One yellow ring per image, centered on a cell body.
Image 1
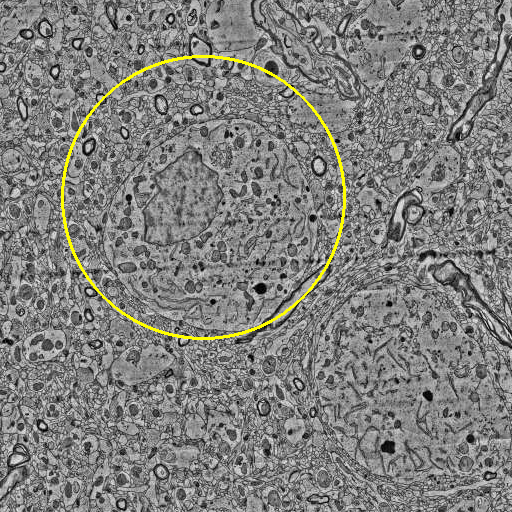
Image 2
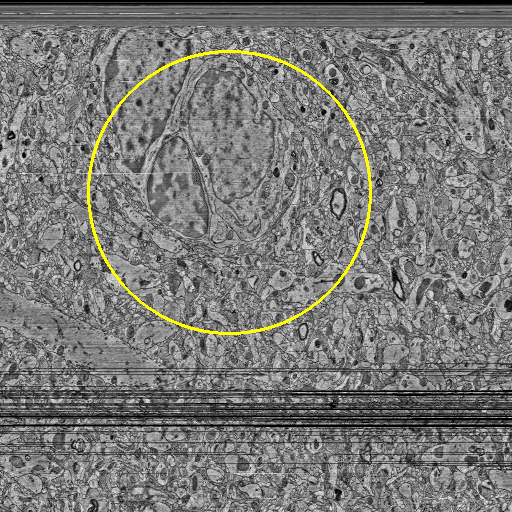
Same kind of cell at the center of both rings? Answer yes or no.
yes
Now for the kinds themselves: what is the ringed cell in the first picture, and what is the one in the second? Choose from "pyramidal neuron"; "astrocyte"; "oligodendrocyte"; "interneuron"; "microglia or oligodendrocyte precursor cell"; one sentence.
Each cell, in the first picture and the second, is an interneuron.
